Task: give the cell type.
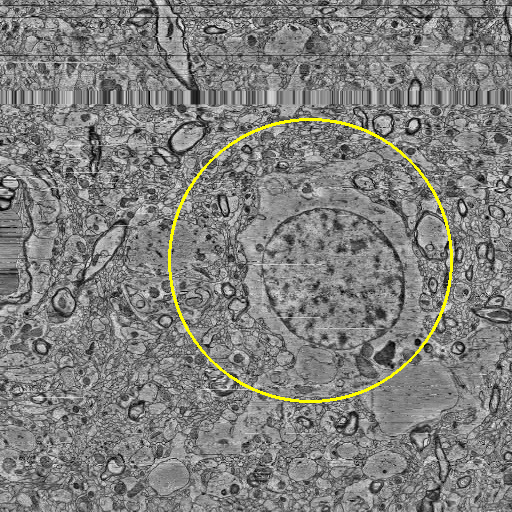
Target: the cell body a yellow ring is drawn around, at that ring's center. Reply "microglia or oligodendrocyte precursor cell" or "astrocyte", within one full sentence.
In this picture, the cell whose body lies at the ring's center is an astrocyte.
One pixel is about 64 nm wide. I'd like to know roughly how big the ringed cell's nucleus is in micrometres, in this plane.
The nucleus appears about 9 micrometres across in this plane.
